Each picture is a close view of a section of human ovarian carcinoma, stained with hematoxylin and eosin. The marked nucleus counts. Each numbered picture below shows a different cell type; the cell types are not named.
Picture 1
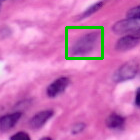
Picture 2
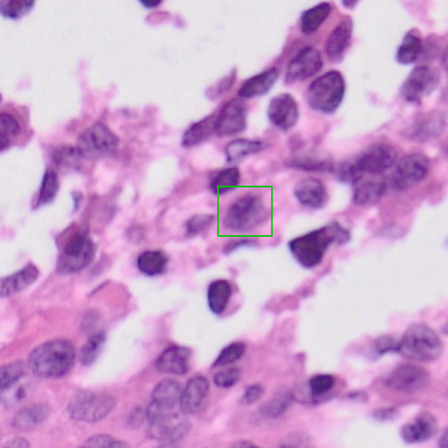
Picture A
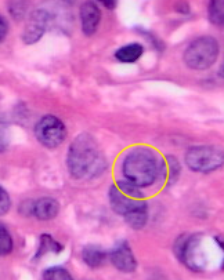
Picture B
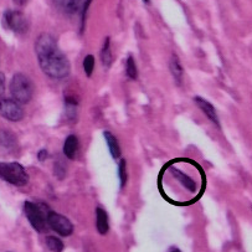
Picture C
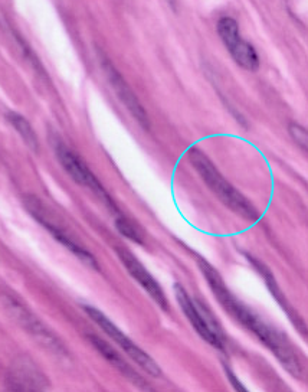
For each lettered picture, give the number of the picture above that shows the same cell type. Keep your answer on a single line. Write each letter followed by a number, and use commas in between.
A 2, B 1, C 1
